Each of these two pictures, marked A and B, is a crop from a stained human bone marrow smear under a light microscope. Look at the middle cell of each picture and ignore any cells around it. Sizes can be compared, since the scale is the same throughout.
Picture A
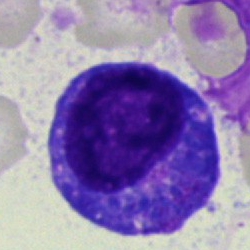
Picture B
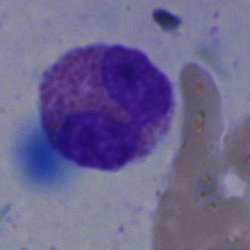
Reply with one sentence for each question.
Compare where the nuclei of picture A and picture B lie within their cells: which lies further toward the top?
The nucleus in picture A lies further toward the top of its cell.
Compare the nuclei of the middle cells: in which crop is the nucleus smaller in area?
Picture B shows the smaller nucleus, since that in picture A covers about 1.5 times as much area.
